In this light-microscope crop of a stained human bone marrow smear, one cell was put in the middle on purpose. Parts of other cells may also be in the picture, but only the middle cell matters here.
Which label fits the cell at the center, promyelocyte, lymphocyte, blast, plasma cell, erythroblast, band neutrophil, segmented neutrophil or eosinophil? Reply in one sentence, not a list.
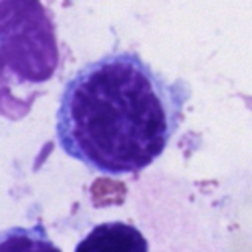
The cell at the heart of this crop is a lymphocyte.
